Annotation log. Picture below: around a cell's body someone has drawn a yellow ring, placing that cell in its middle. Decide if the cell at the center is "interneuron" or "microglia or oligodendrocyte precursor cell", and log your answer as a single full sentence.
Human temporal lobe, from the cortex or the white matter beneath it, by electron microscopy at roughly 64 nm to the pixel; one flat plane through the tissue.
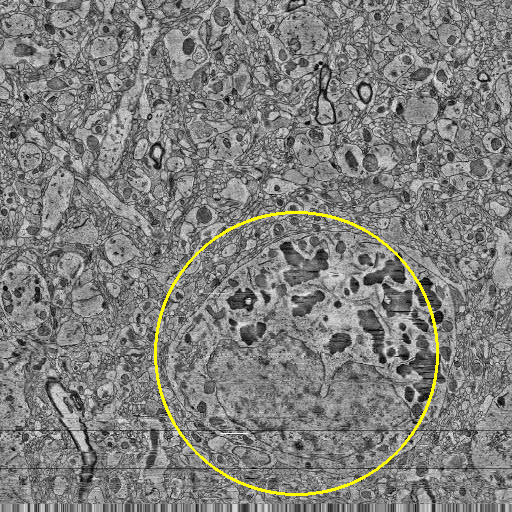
My entry records an interneuron as the cell sitting at the center of the yellow ring.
